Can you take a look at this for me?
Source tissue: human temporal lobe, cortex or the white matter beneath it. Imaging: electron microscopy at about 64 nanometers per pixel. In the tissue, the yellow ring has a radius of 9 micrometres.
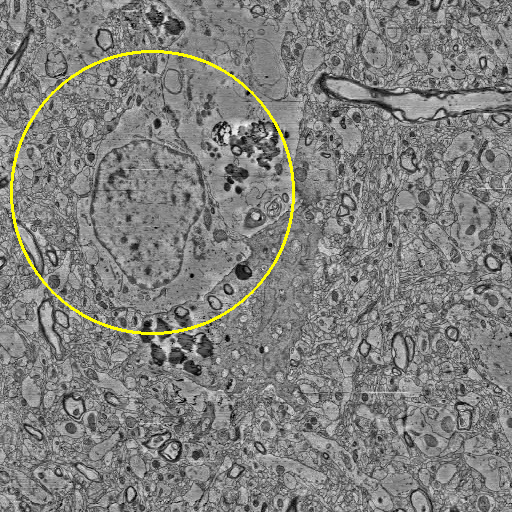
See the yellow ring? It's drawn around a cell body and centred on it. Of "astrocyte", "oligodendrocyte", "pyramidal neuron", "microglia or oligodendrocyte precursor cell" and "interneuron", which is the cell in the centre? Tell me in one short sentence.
The one in the centre is a microglial cell or oligodendrocyte precursor cell.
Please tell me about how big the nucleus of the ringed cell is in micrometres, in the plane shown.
Approximately 10 x 7 micrometres in this plane.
